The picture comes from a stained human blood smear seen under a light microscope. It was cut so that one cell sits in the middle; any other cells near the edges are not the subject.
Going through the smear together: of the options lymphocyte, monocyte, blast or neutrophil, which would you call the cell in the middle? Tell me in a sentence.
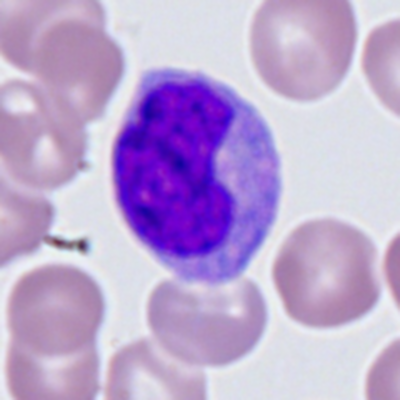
For this crop, the central cell is a monocyte.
